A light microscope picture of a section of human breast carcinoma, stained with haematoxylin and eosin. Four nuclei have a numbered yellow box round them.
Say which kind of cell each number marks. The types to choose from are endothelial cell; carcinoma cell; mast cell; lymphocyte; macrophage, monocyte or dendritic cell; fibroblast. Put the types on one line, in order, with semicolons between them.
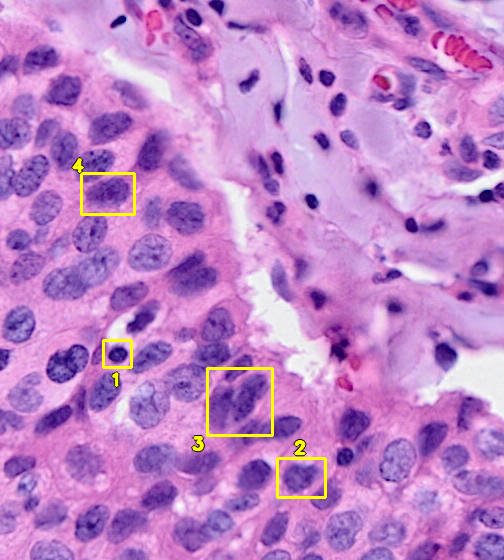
lymphocyte; carcinoma cell; carcinoma cell; carcinoma cell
